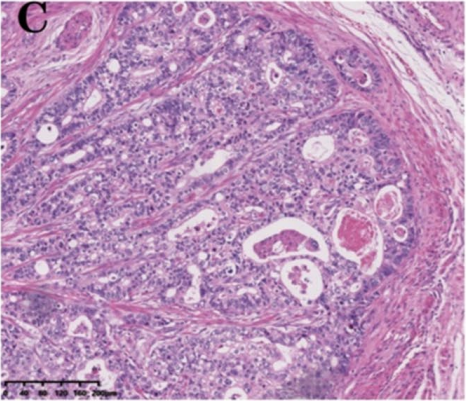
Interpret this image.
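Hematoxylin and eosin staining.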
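A large rounded nest of tumor cells is surrounded by a band of pink fibromuscular tissue. The crowded tumor cells have pink cytoplasm and dark rounded nuclei and form numerous gland-like lumens of varying size. Several of the larger lumens contain pink proteinaceous material. Smaller tumor clusters lie in the surrounding stroma at the upper edge.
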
